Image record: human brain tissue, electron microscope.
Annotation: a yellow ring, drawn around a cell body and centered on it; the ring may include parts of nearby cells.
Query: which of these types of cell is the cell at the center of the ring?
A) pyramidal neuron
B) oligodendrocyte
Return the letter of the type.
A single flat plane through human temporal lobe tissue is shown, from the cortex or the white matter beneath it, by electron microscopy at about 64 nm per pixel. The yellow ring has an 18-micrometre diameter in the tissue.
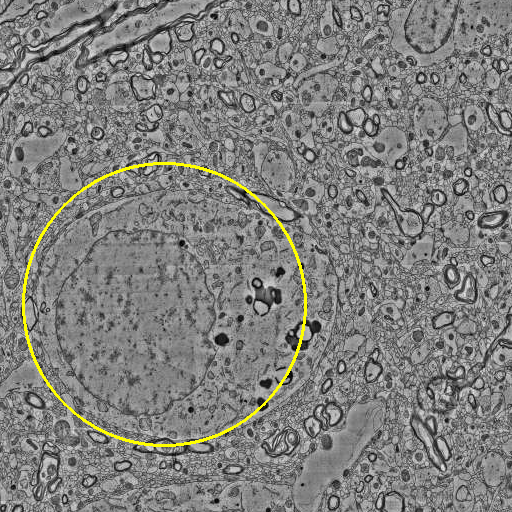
A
